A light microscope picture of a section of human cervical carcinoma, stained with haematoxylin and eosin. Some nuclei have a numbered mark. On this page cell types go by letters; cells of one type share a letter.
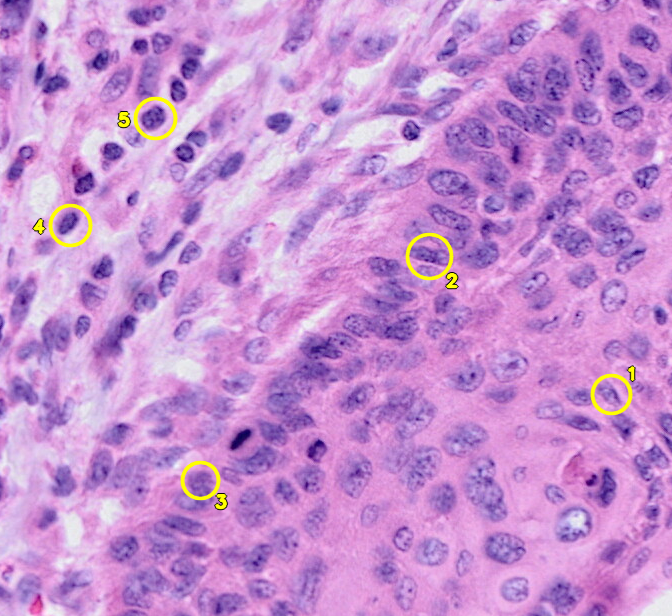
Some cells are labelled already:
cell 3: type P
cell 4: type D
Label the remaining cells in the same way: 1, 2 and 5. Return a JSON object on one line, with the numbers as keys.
{"1": "type P", "2": "type P", "5": "type D"}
